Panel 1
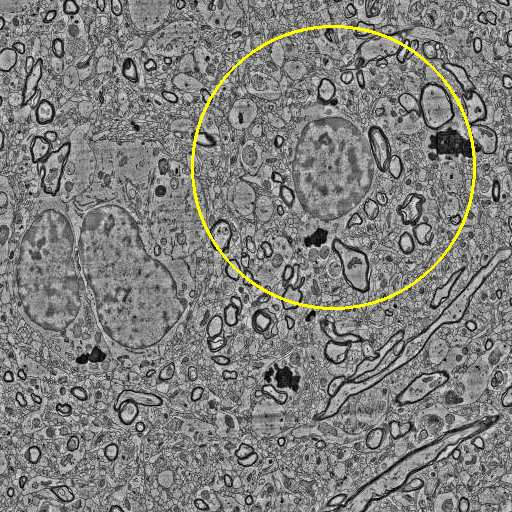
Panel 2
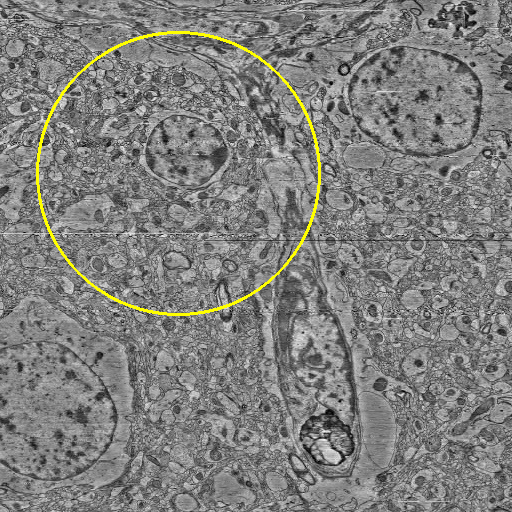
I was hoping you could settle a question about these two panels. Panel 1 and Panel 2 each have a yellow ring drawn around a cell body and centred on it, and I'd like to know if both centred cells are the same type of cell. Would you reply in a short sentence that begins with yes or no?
No, they are two types of cell.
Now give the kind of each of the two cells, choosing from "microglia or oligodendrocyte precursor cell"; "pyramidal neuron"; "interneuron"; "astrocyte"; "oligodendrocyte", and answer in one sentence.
The cell in the first picture is an oligodendrocyte, and the cell in the second is a microglial cell or oligodendrocyte precursor cell.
